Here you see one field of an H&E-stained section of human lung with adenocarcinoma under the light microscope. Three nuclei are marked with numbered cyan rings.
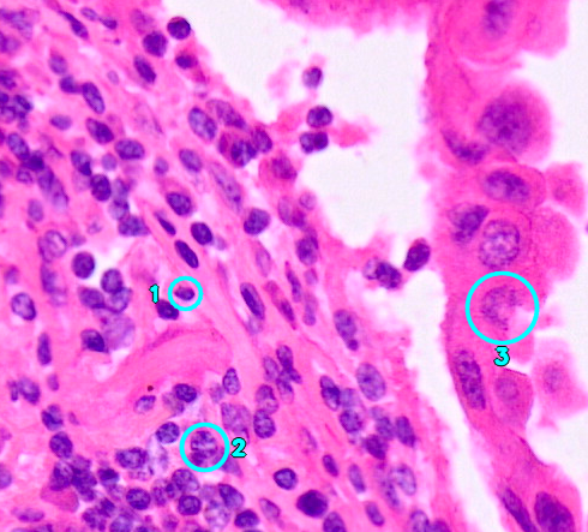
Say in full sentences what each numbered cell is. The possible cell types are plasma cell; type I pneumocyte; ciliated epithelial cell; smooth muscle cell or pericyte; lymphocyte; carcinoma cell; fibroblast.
Cells 1 and 2 are lymphocytes. Cell 3 is a carcinoma cell.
